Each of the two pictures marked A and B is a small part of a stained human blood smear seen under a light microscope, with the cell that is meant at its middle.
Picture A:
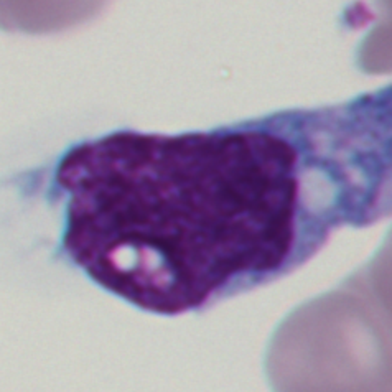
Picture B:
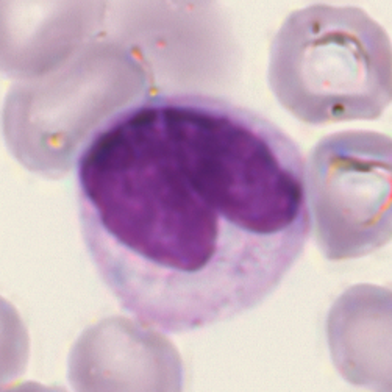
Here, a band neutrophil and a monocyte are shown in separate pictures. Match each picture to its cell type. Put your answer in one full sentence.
Picture B shows a band neutrophil, while picture A shows a monocyte.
